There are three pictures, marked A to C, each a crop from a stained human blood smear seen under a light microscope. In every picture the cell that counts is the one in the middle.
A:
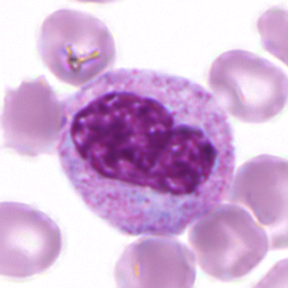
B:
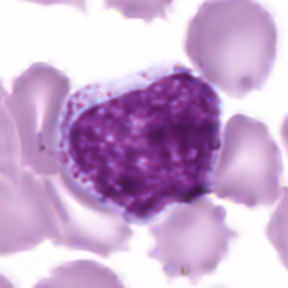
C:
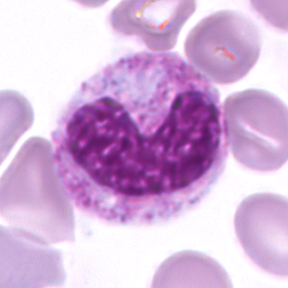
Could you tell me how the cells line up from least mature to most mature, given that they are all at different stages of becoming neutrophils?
B, A, C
